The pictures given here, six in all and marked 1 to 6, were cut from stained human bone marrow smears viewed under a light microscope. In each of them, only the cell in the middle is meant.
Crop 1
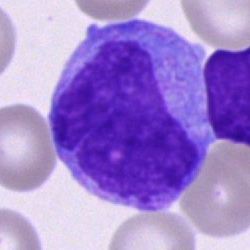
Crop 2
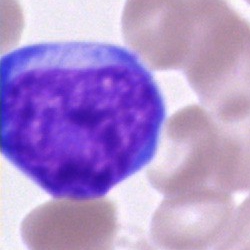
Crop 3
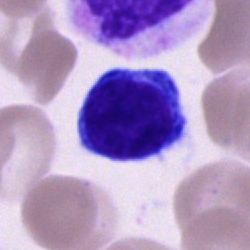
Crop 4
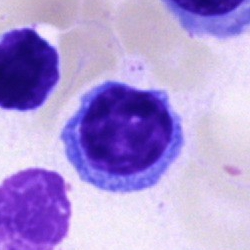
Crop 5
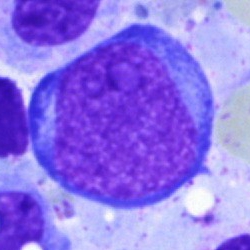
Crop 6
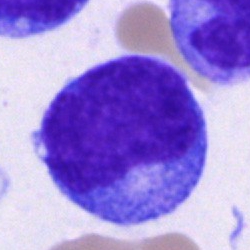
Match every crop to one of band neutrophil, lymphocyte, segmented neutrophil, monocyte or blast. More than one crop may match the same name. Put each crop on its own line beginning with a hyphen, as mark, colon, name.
- 1: monocyte
- 2: blast
- 3: lymphocyte
- 4: lymphocyte
- 5: blast
- 6: blast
